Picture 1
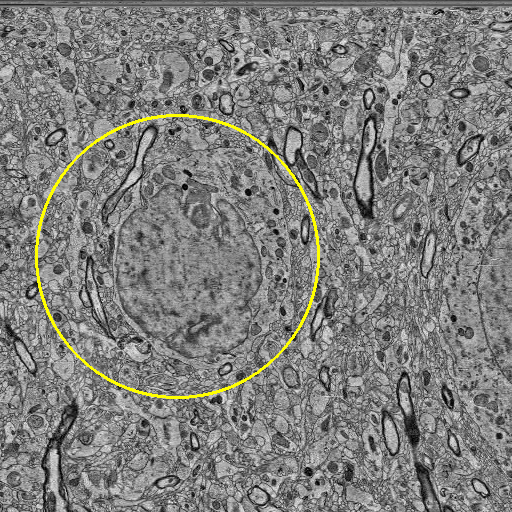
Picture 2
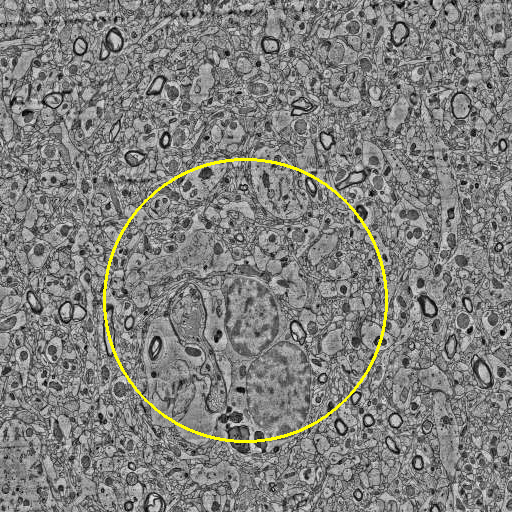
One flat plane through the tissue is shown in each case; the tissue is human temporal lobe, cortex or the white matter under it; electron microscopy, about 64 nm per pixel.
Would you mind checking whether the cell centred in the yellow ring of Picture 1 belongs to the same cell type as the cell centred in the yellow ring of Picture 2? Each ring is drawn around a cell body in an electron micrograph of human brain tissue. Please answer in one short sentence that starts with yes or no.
No, the two cells are of two types.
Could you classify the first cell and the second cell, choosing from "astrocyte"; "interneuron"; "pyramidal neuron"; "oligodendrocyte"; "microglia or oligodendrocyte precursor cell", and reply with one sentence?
The second cell is an oligodendrocyte, while the first is an interneuron.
